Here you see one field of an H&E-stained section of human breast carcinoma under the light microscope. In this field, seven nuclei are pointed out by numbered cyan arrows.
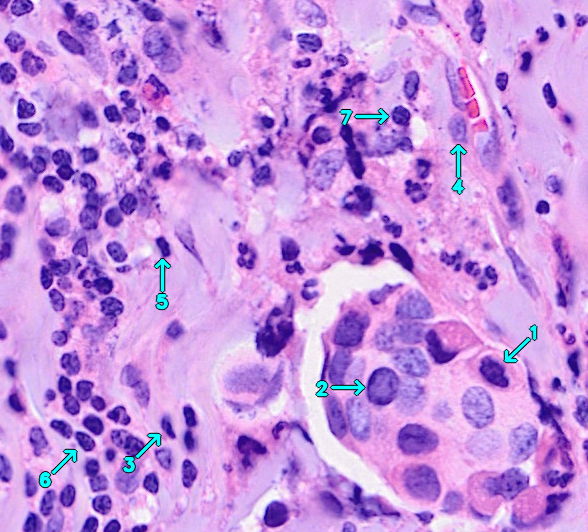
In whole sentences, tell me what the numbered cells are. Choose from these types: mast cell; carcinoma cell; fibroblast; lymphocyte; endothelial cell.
Cell 1 is a carcinoma cell, cell 2 is a carcinoma cell, cell 3 is a lymphocyte, cell 4 is an endothelial cell, cell 5 is a lymphocyte, cell 6 is a lymphocyte and cell 7 is a lymphocyte.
